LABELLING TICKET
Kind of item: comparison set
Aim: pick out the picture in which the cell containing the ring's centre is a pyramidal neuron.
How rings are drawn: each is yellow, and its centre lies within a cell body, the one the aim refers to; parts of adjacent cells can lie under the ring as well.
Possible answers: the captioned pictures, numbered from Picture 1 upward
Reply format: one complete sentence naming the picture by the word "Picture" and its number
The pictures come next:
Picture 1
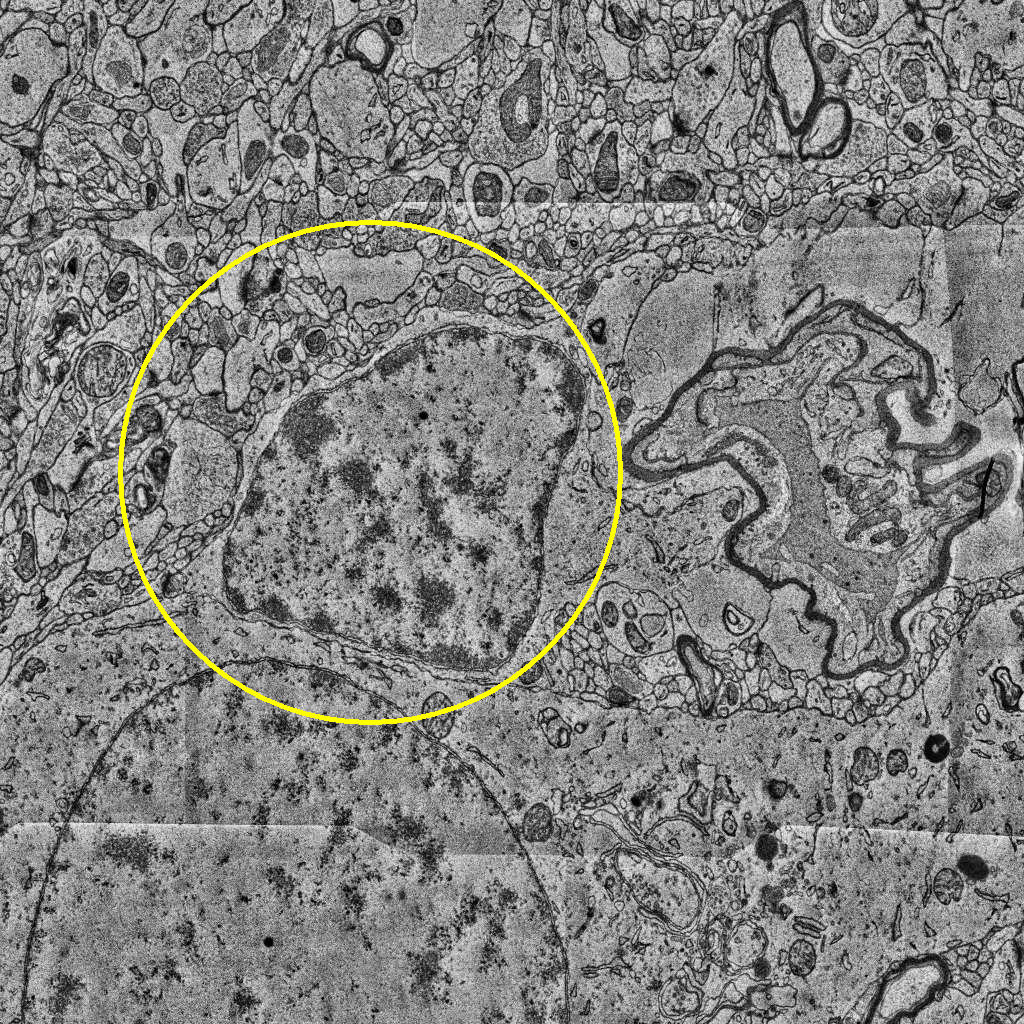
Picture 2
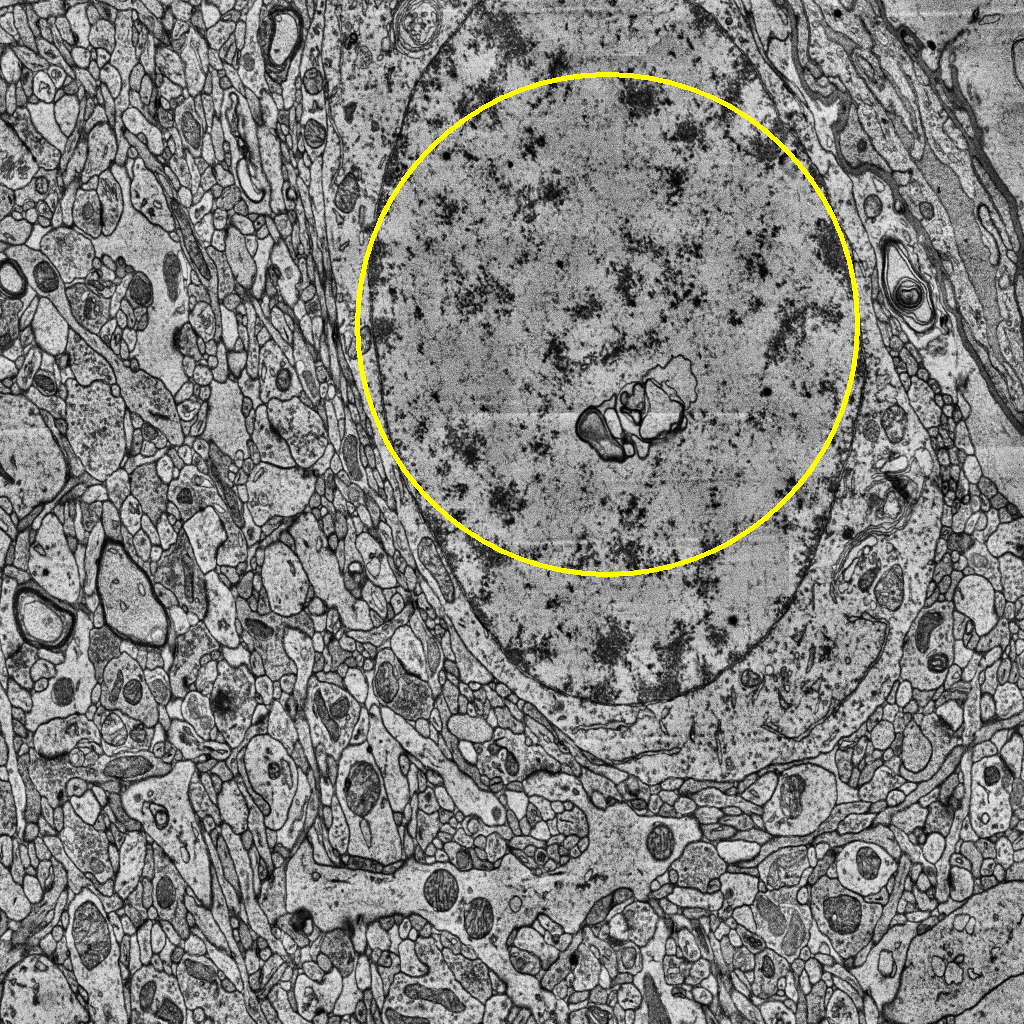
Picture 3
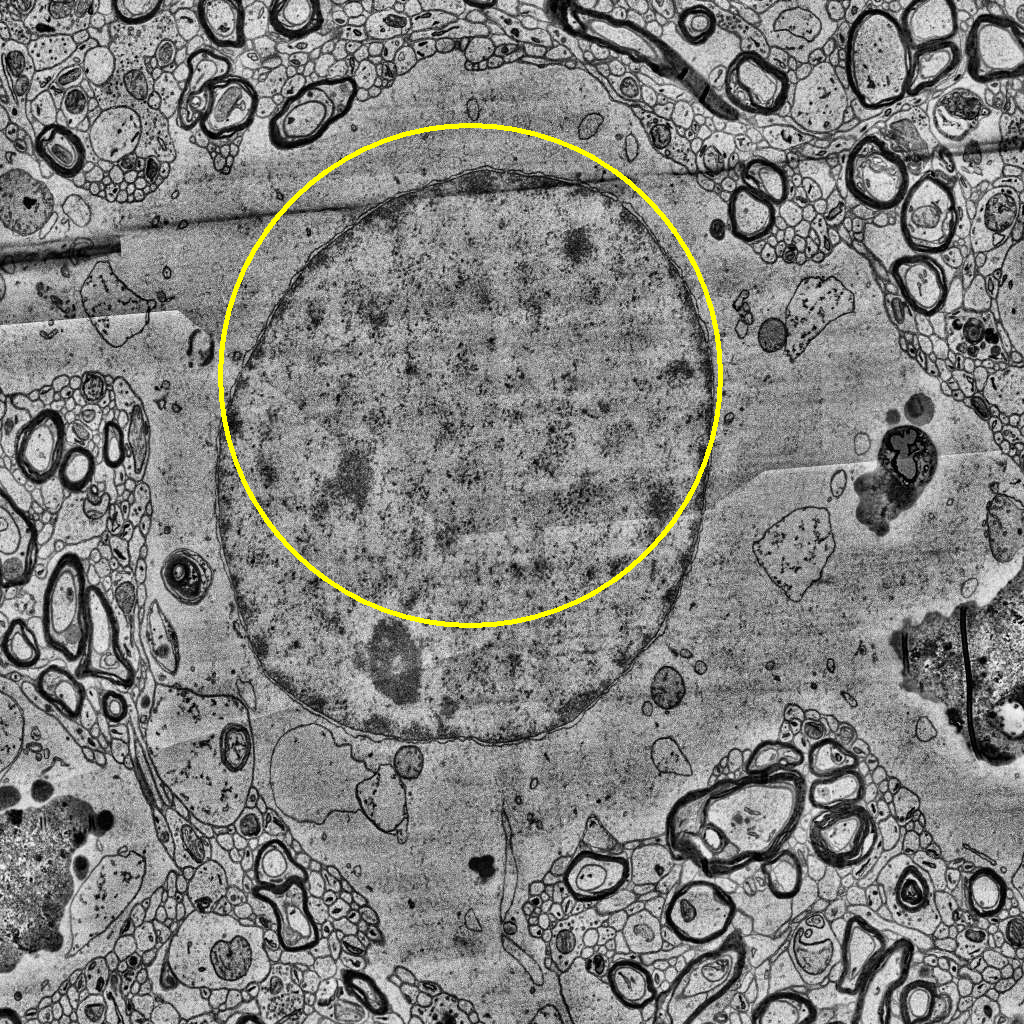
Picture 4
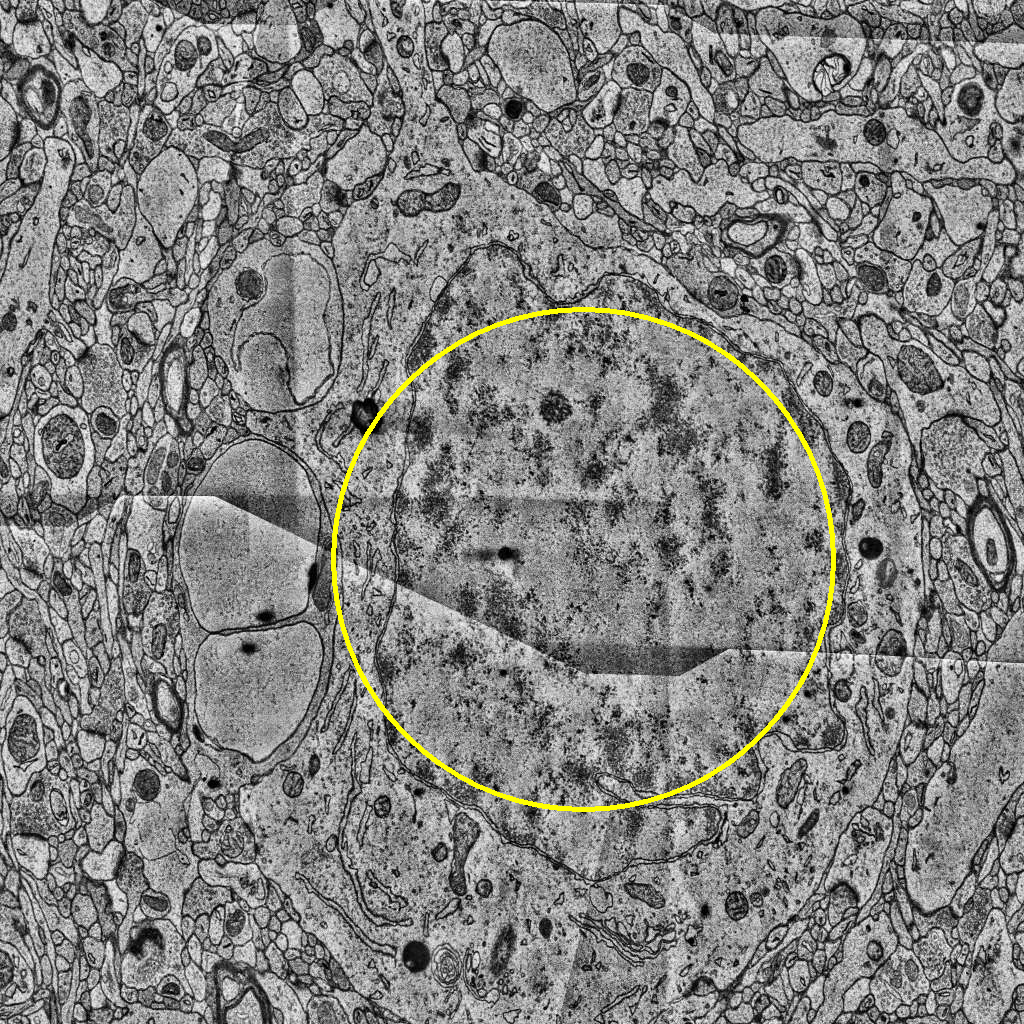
The cell containing the middle of the yellow ring in Picture 2 is the requested one.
